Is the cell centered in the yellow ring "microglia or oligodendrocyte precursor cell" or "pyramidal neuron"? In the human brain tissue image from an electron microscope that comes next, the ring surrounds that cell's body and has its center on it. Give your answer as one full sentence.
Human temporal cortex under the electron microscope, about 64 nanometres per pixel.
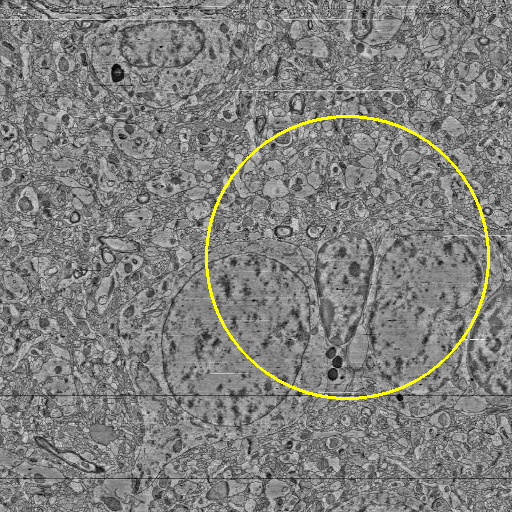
The cell at the center of the yellow ring is a microglial cell or oligodendrocyte precursor cell in the micrograph.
